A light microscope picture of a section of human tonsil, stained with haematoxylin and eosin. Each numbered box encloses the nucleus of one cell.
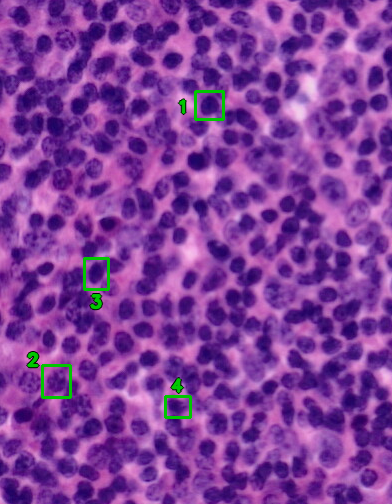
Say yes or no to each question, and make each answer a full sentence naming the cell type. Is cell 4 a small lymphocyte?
Yes, cell number 4 is classified as a small lymphocyte.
